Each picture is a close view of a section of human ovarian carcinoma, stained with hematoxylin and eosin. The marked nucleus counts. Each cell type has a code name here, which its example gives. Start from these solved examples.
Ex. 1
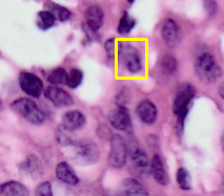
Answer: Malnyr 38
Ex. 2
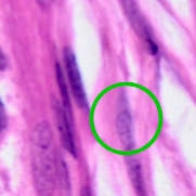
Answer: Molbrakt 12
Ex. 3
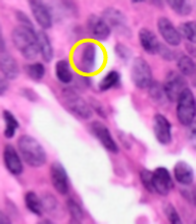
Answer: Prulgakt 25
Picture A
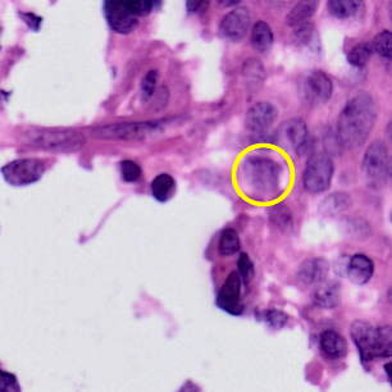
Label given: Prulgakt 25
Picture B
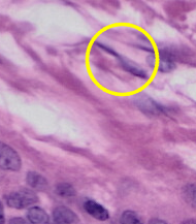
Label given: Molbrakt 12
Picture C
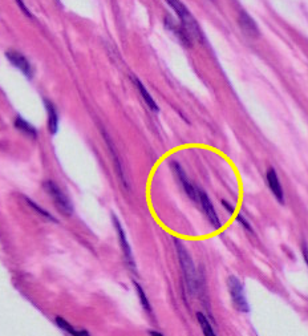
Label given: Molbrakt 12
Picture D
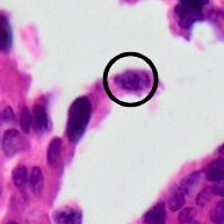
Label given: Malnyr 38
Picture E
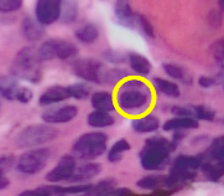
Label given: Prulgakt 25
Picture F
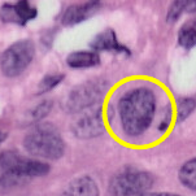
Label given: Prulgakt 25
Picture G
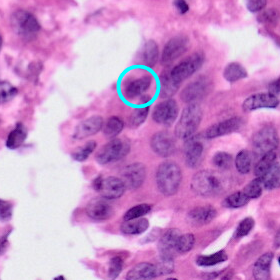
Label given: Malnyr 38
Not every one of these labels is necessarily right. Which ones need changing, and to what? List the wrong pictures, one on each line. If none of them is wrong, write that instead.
Nothing to fix; every label fits.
